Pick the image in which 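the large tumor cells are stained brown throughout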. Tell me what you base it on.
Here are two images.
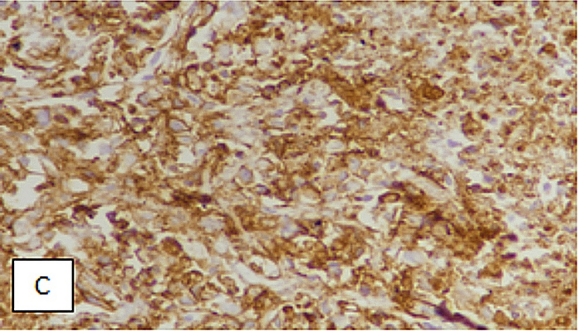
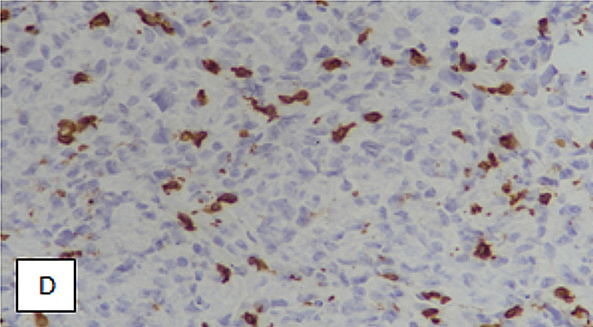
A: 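Second image: only scattered small cells are brown; the large cells show only blue nuclei. First image: brown stain covers nearly all cells across the field. The answer: the first image.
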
